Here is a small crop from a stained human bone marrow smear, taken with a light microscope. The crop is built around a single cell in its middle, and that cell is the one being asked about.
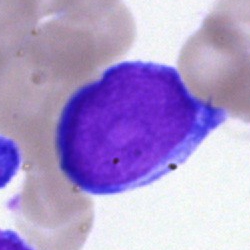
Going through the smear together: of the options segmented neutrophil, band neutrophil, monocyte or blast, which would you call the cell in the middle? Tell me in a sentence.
Classification of the middle cell gives a blast.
